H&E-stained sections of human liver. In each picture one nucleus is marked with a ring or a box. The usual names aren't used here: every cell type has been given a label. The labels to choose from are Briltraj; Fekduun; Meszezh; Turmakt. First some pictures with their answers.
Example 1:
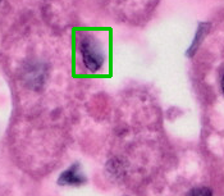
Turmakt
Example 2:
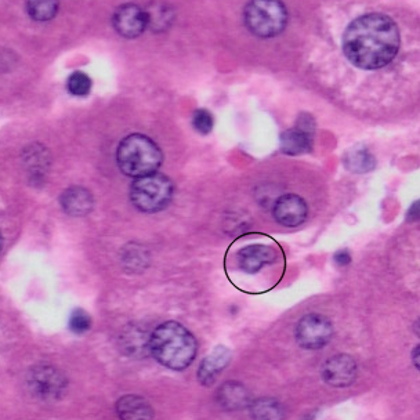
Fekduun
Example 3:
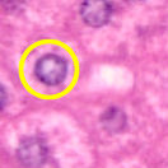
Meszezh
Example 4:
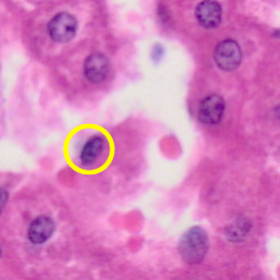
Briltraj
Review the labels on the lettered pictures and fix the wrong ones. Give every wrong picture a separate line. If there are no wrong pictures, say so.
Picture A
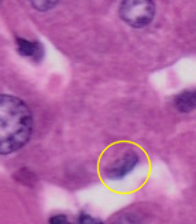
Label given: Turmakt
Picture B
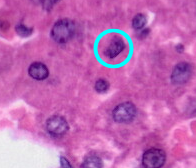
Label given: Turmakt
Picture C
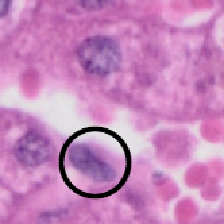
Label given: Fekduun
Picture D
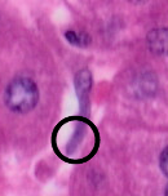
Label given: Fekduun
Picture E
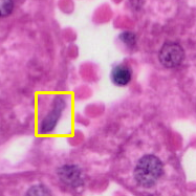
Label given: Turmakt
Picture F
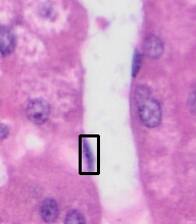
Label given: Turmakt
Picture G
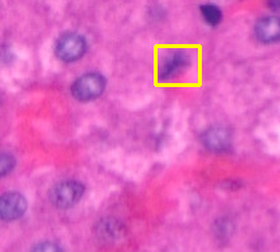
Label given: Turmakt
Wrong: E (Turmakt); correct: Fekduun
